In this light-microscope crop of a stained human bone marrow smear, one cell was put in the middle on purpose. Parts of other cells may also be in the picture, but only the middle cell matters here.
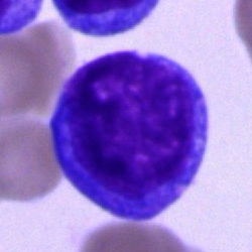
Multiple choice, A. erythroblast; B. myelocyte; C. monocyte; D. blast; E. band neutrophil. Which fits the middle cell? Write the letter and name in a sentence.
The centered cell is a blast, which is why option D is right.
